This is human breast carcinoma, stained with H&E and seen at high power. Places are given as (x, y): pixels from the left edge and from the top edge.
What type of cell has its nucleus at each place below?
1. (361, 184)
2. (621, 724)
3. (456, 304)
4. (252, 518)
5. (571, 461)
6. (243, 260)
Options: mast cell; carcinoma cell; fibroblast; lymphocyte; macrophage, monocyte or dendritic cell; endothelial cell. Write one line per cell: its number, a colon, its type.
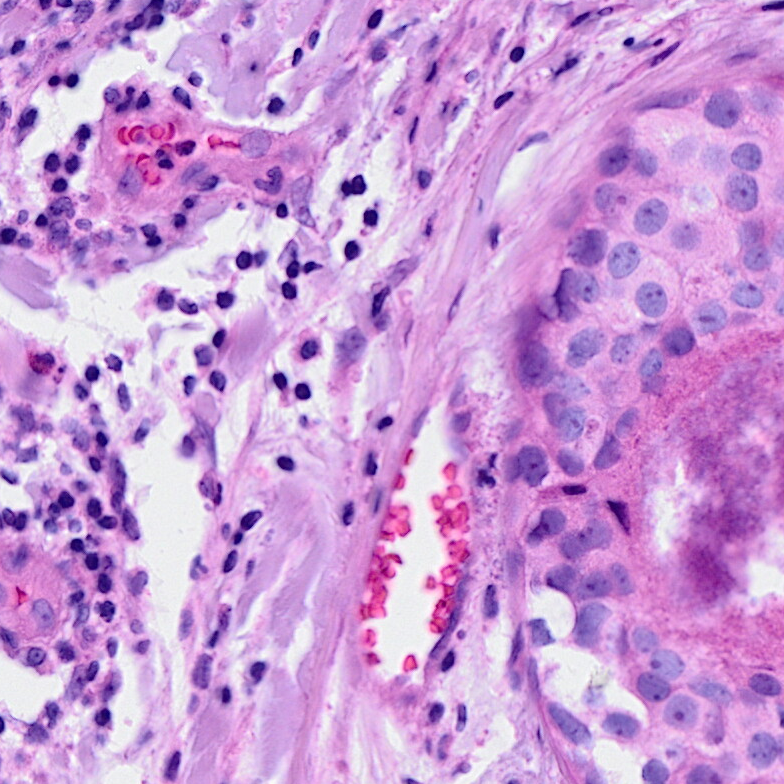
1: lymphocyte
2: carcinoma cell
3: fibroblast
4: lymphocyte
5: carcinoma cell
6: lymphocyte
